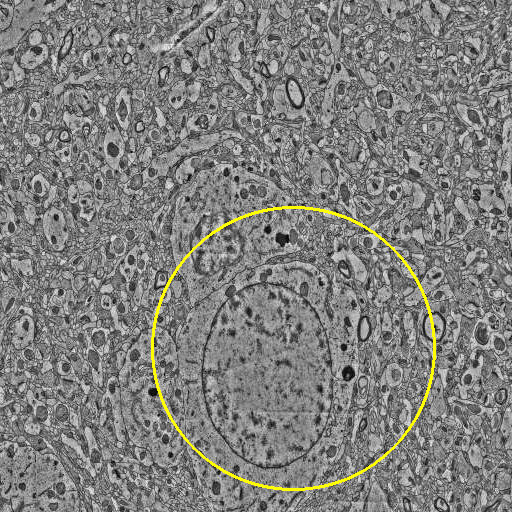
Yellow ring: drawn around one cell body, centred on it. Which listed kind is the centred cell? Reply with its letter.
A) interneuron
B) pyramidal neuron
B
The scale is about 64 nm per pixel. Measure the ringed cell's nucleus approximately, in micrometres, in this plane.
The nucleus comes to roughly 12 by 8 micrometres in this plane.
